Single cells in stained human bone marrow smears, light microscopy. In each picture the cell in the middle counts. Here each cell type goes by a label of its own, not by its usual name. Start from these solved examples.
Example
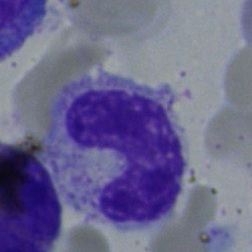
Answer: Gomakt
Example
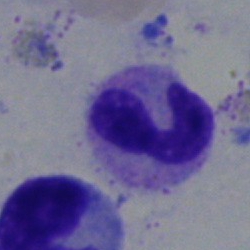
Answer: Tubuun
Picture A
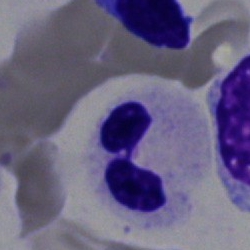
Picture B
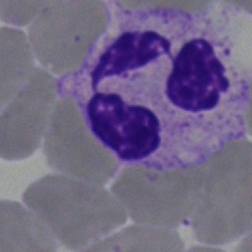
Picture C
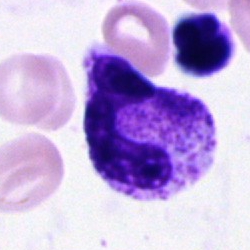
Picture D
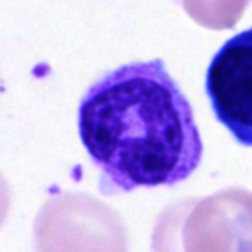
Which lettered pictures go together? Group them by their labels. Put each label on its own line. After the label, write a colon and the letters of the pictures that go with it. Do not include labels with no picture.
Gomakt: D
Tubuun: A, B, C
